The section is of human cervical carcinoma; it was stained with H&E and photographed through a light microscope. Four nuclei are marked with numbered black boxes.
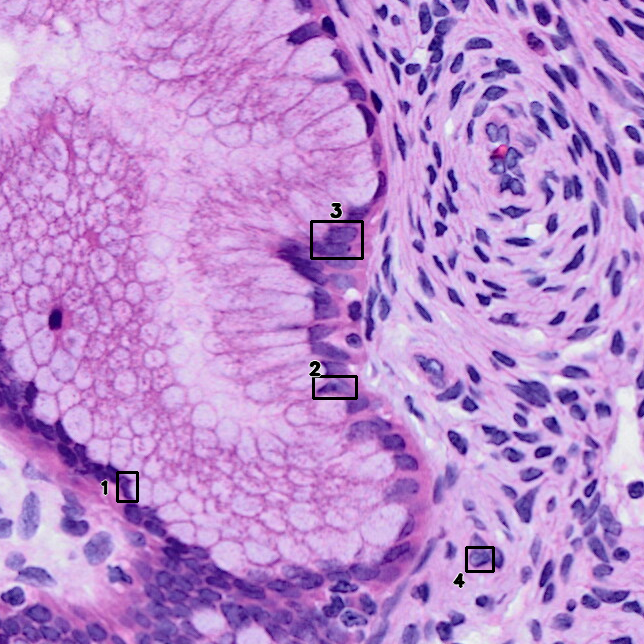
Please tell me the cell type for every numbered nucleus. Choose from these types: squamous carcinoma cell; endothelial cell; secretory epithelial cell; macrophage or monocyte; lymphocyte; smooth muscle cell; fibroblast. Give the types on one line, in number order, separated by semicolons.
secretory epithelial cell; secretory epithelial cell; secretory epithelial cell; endothelial cell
